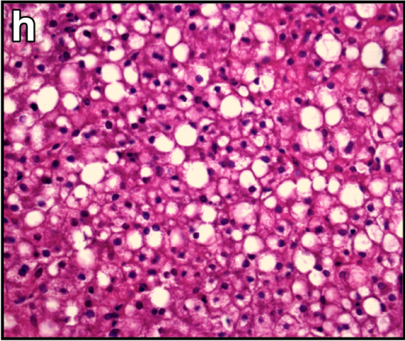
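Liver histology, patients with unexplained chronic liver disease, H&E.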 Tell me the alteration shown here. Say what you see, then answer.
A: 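Many hepatocytes contain round clear vacuoles. Some vacuoles are large and single, others small and multiple within a cell. On this evidence: Mixed macro- and microvesicular steatosis.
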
